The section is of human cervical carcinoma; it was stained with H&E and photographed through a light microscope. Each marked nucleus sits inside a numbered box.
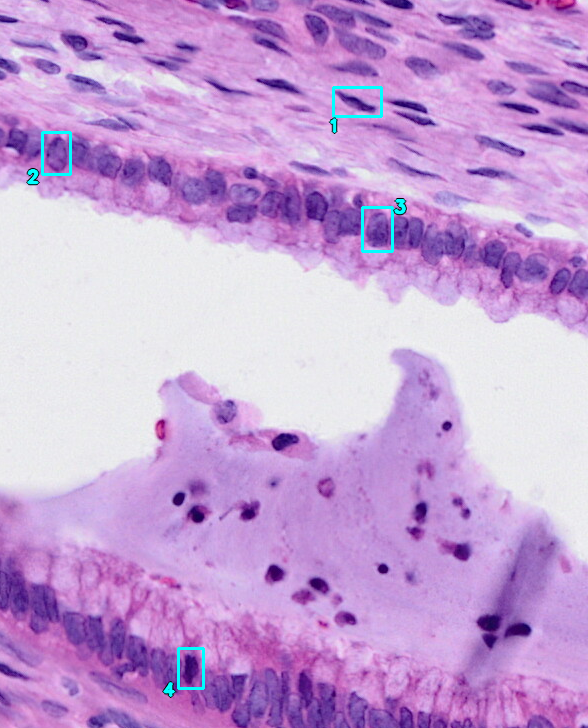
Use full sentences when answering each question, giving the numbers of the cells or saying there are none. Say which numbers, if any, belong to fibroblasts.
Cell 1 is a fibroblast, which is true of none of the other numbered cells.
